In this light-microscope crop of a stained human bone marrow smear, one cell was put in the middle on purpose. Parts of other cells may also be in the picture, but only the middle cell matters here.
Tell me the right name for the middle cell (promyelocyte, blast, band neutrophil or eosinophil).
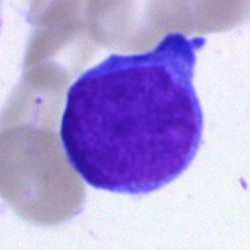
blast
